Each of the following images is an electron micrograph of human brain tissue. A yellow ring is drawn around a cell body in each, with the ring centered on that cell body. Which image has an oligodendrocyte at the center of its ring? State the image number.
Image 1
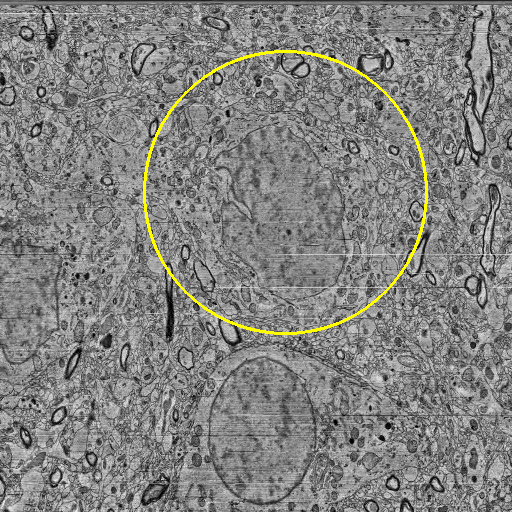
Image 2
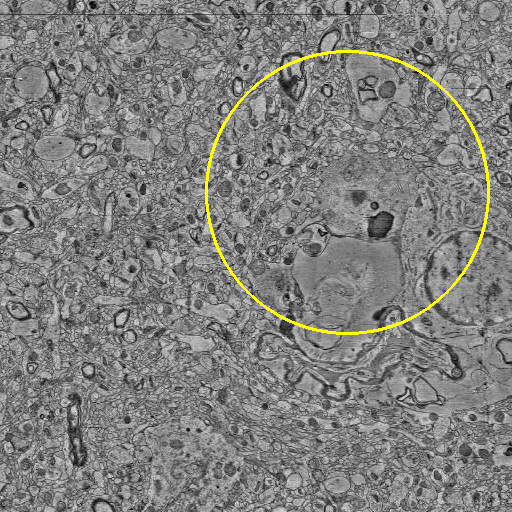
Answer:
2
